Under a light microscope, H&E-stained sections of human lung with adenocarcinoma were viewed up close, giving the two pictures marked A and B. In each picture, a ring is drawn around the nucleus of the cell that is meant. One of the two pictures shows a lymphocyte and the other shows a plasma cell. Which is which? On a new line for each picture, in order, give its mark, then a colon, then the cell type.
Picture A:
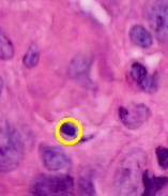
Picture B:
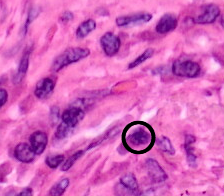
A: lymphocyte
B: plasma cell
